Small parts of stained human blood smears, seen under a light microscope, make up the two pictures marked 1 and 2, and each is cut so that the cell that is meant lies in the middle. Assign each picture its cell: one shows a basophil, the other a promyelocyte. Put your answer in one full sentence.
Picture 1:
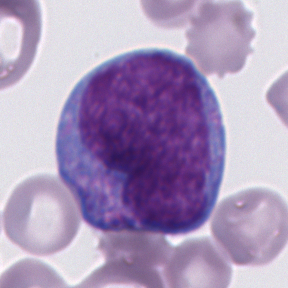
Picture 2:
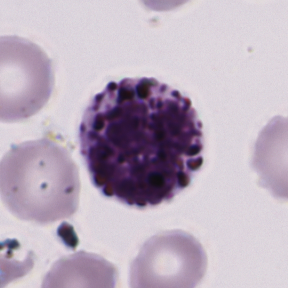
Picture 2 shows a basophil, while picture 1 shows a promyelocyte.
